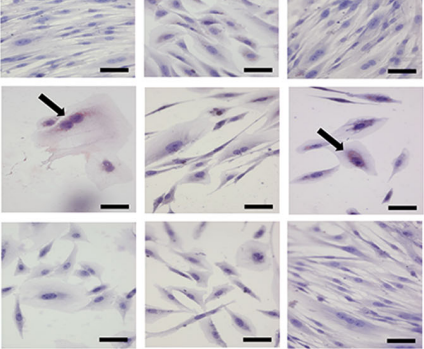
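In several fields the cells lie densely packed and aligned in parallel streams, while in others they are sparser, more flattened and spread out. A few cells in some fields show a reddish colour over the nucleus and surrounding cytoplasm, standing out against the blue of the other cells.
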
